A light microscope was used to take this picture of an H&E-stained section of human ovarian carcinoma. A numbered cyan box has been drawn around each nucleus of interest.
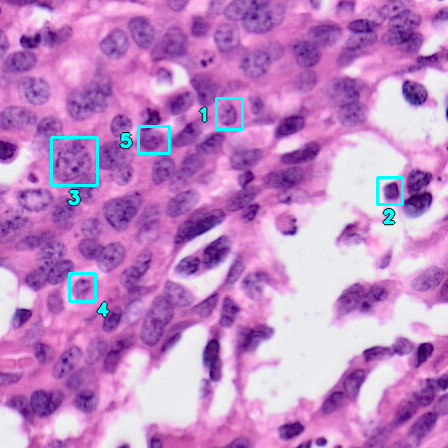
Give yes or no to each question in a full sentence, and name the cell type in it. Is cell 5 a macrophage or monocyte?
No, at number 5 sits a carcinoma cell, not a macrophage or monocyte.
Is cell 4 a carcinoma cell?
No, cell 4 is not a carcinoma cell; a macrophage or monocyte is the correct identification.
